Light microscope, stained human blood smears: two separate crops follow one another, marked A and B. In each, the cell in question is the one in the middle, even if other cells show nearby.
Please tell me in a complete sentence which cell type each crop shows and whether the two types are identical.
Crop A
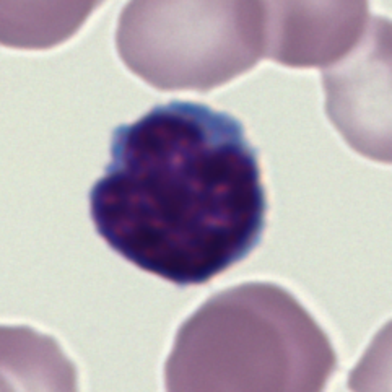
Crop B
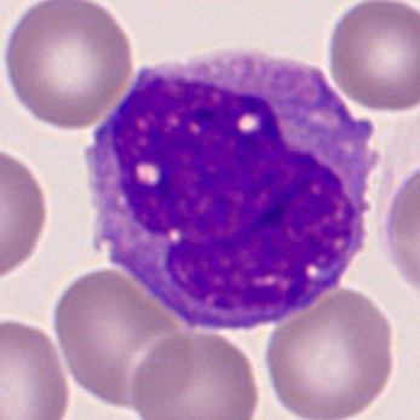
No, a monocyte is the cell of crop B, while a lymphocyte is the cell of crop A.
